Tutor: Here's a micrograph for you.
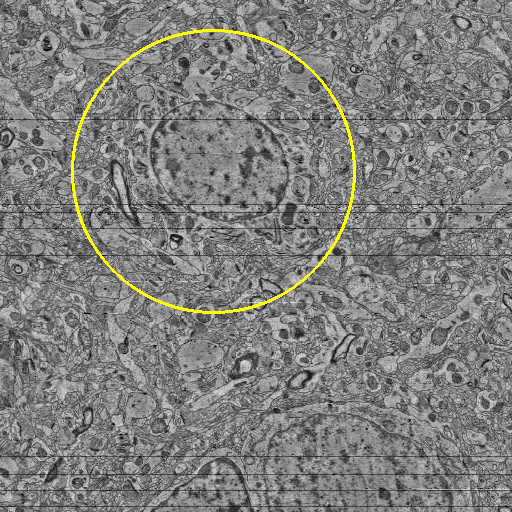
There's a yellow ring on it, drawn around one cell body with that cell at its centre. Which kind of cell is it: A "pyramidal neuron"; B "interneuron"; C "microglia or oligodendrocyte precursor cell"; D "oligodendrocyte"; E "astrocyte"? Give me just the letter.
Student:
E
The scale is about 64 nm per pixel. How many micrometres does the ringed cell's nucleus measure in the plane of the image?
In this plane the nucleus spans approximately 9 by 8 micrometers.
